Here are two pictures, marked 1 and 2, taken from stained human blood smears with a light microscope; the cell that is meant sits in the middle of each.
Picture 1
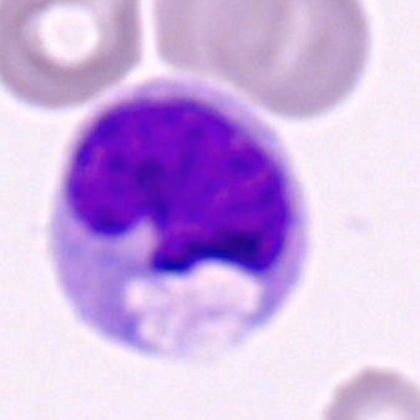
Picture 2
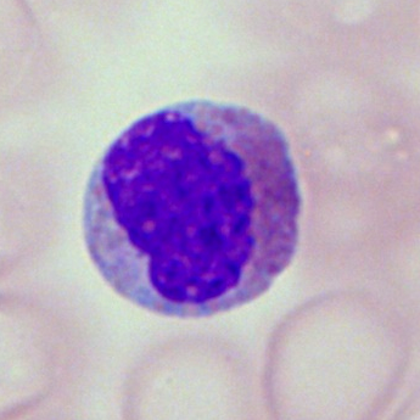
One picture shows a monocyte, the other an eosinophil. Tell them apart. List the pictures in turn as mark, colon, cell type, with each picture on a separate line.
1: monocyte
2: eosinophil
